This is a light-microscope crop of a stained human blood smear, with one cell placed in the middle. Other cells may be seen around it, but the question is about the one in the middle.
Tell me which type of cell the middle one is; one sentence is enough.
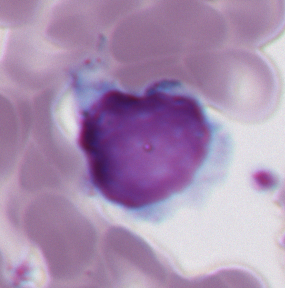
By classification, the middle cell of this crop is a lymphocyte.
